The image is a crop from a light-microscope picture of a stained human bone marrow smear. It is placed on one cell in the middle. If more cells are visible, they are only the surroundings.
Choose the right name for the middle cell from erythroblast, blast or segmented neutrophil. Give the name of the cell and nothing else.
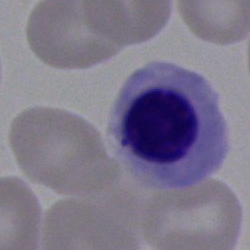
erythroblast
